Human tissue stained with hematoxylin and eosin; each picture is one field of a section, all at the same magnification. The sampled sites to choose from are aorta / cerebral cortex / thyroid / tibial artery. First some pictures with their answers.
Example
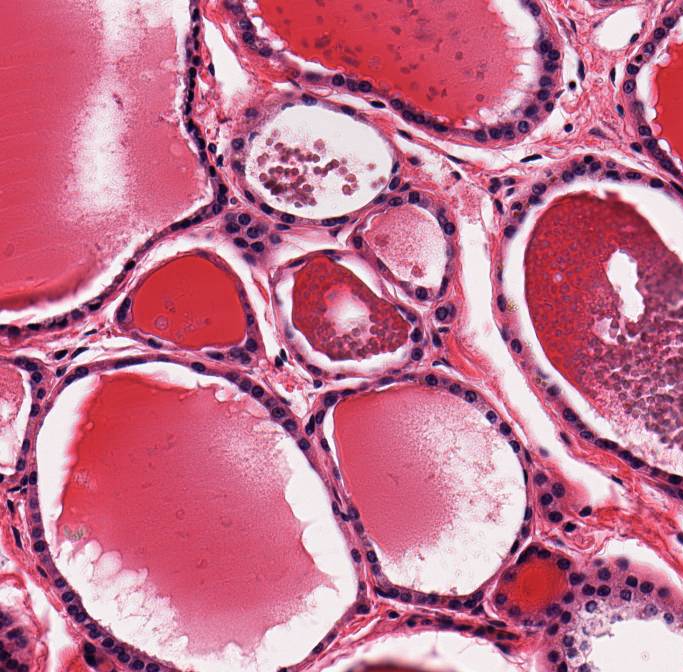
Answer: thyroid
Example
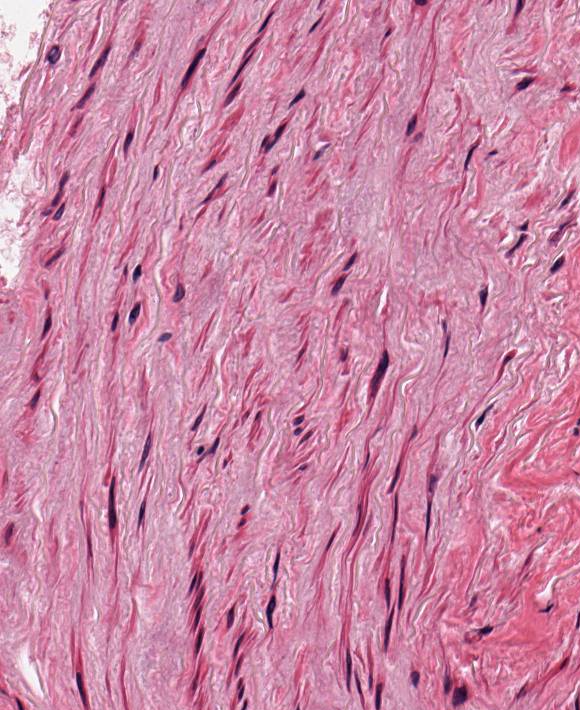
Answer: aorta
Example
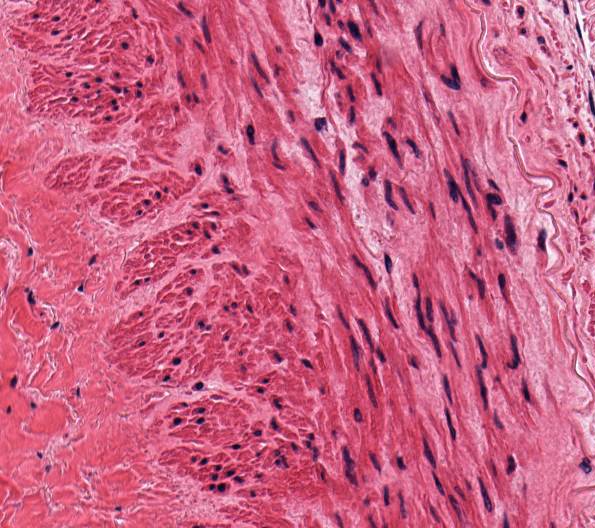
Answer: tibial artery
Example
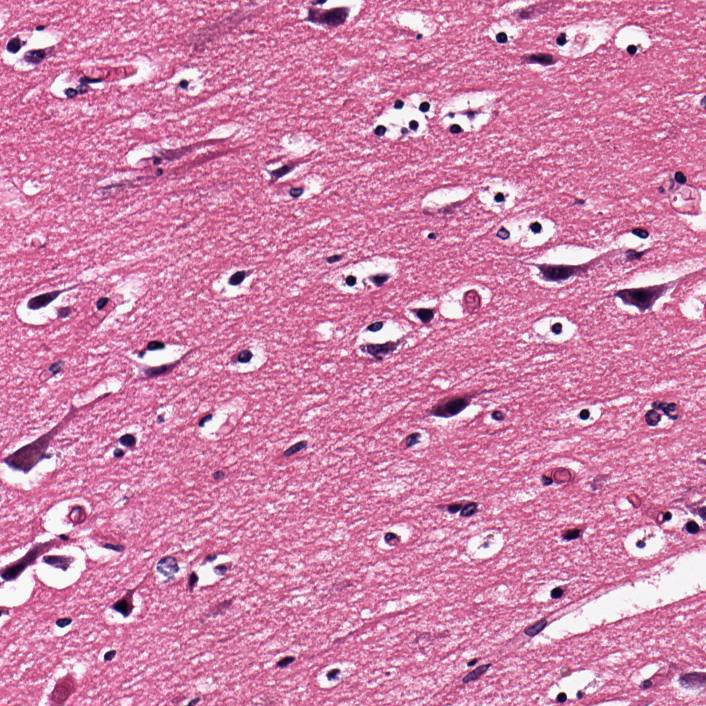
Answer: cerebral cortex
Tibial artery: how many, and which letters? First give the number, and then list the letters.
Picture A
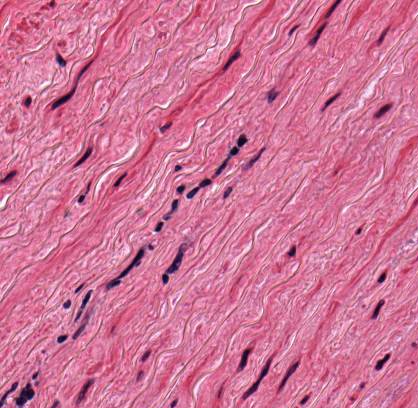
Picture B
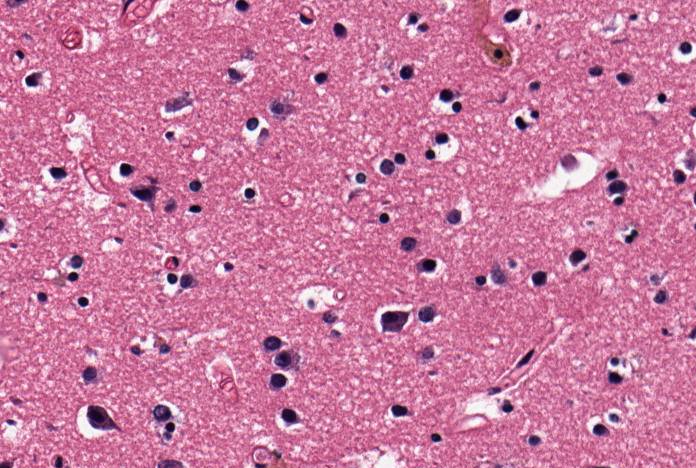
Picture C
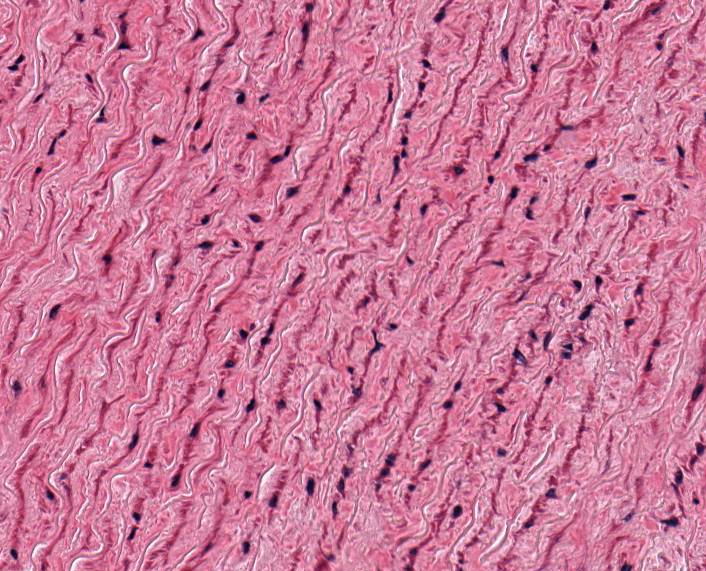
0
